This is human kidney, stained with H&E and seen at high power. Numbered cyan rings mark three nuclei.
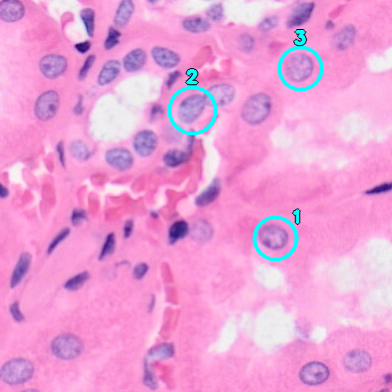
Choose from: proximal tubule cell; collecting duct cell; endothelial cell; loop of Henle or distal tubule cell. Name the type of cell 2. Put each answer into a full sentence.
The nucleus with number 2 is that of a collecting duct cell.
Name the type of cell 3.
The cell with the number 3 is a proximal tubule cell.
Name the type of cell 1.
The cell indicated by marker 1 is a proximal tubule cell in this section.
